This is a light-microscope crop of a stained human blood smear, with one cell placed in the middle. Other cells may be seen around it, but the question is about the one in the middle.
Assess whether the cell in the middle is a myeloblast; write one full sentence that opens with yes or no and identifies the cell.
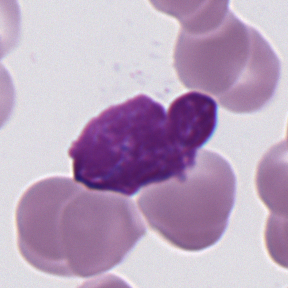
No, the middle one is a smudge cell rather than a myeloblast.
